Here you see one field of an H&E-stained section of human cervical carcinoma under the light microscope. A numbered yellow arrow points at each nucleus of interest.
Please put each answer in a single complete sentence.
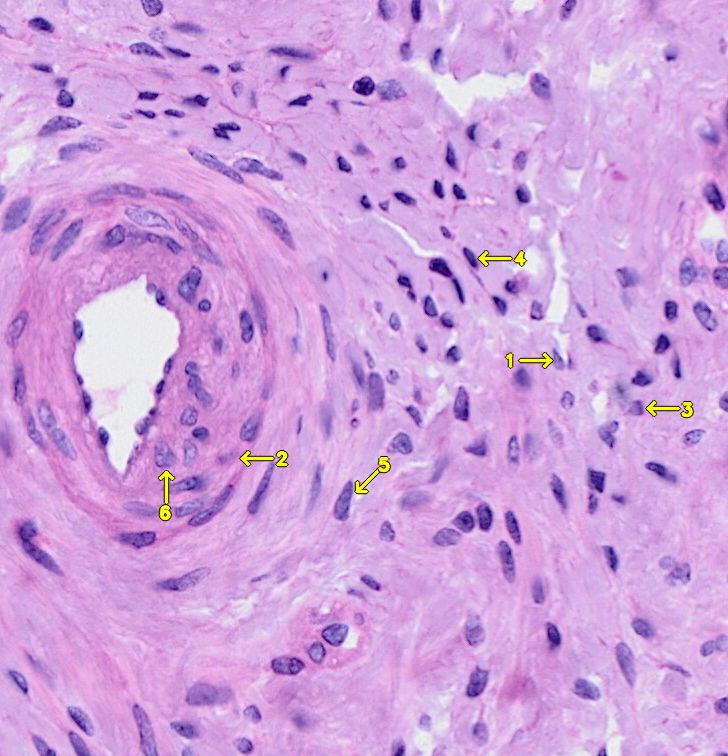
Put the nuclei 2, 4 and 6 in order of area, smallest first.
By area, going up from the smallest, they rank 4, 2, 6.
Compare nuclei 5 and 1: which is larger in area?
It is nucleus 5, which covers about 2 times the area of nucleus 1.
